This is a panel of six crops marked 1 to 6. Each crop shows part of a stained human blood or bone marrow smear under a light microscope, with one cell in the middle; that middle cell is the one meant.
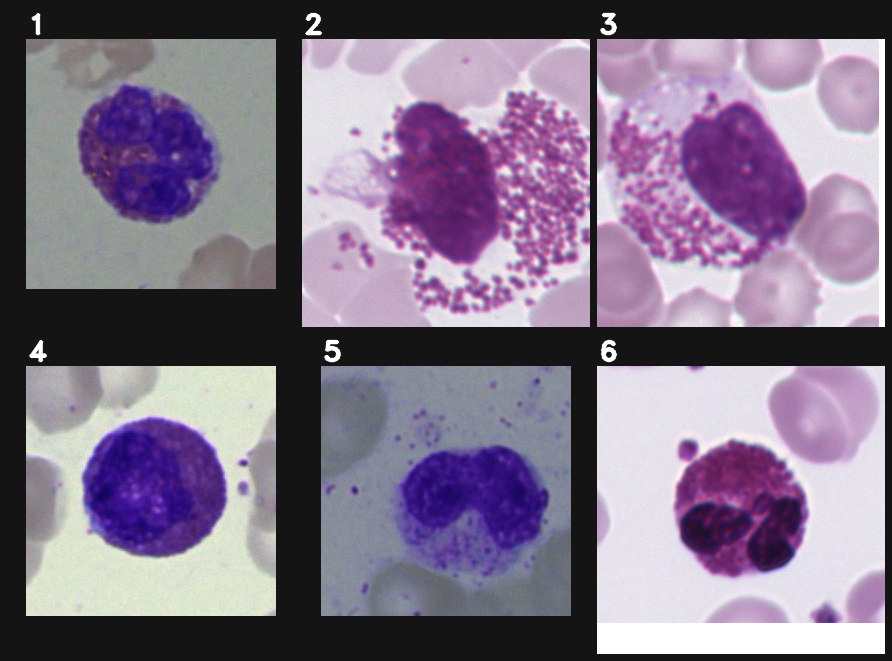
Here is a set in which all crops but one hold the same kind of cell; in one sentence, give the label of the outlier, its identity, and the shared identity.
The outlier here is crop 5, which is a band neutrophil, while the remainder show eosinophils.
